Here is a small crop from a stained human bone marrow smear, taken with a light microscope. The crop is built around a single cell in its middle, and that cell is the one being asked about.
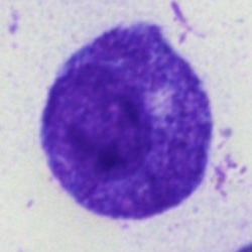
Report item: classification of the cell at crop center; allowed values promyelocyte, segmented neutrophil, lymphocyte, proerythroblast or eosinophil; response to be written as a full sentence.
Seen at the centre of the crop is a promyelocyte.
